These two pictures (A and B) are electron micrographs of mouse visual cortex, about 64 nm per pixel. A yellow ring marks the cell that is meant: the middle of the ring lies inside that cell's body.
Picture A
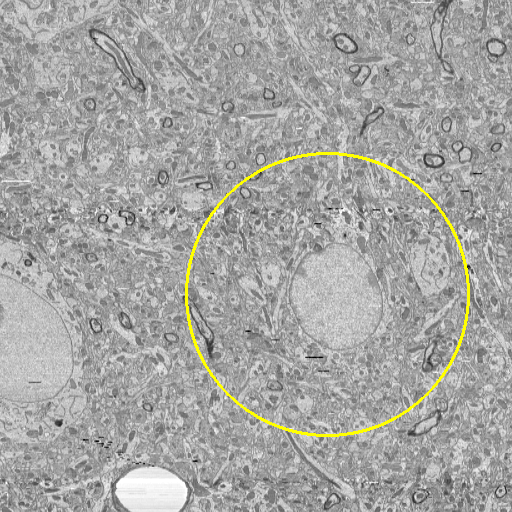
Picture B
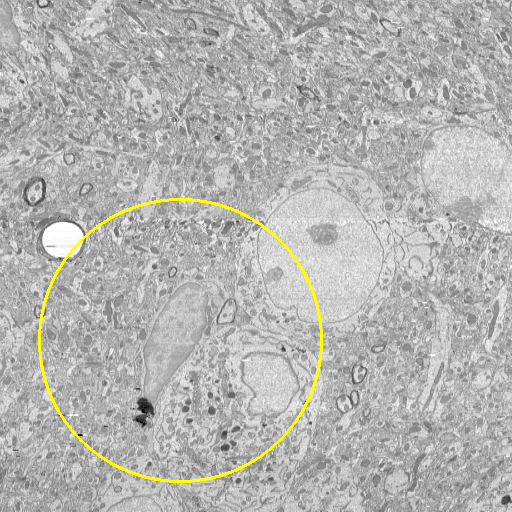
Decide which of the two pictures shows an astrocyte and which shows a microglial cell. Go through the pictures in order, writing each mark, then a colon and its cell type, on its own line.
A: astrocyte
B: microglial cell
